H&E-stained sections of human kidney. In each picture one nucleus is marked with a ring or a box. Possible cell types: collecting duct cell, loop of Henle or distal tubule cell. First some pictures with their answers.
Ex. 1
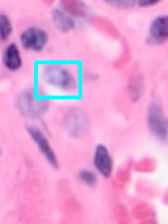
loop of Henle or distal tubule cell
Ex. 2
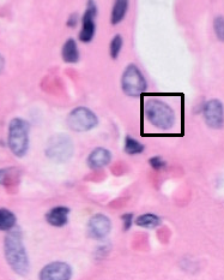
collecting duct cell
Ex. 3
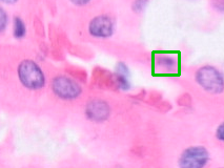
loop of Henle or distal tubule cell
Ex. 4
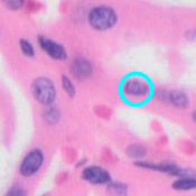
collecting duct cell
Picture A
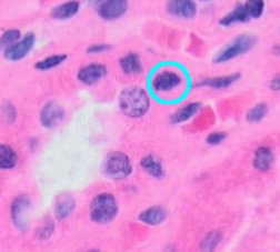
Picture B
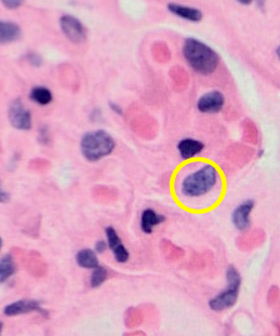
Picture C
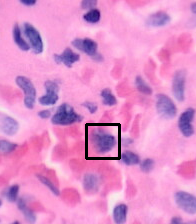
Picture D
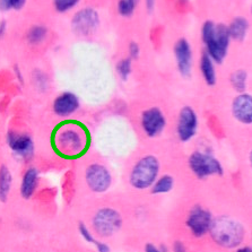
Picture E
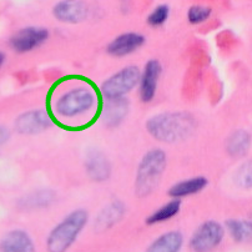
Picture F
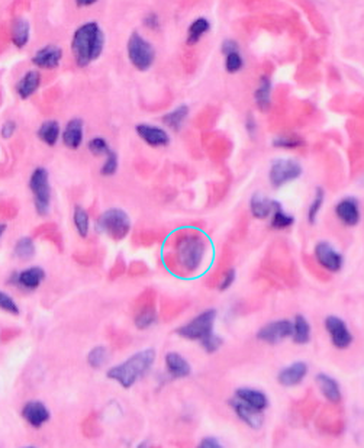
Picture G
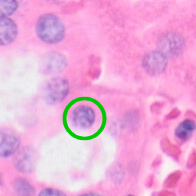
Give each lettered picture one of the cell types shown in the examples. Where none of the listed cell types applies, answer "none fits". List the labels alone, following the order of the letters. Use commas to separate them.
loop of Henle or distal tubule cell, none fits, none fits, loop of Henle or distal tubule cell, collecting duct cell, none fits, loop of Henle or distal tubule cell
